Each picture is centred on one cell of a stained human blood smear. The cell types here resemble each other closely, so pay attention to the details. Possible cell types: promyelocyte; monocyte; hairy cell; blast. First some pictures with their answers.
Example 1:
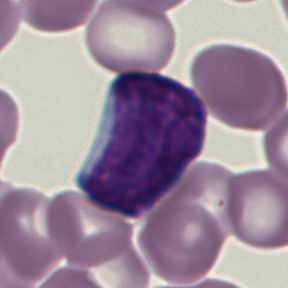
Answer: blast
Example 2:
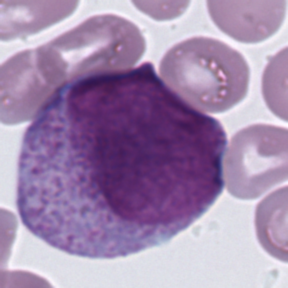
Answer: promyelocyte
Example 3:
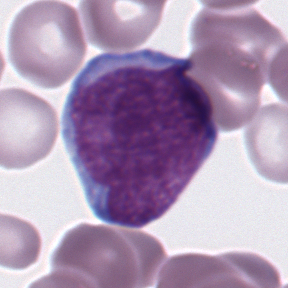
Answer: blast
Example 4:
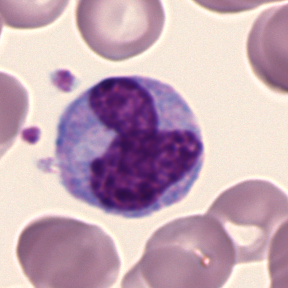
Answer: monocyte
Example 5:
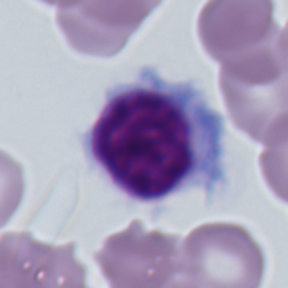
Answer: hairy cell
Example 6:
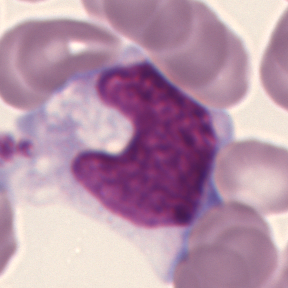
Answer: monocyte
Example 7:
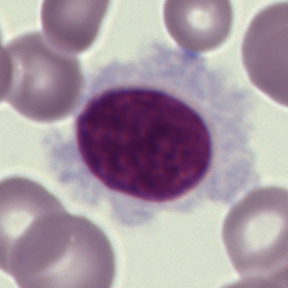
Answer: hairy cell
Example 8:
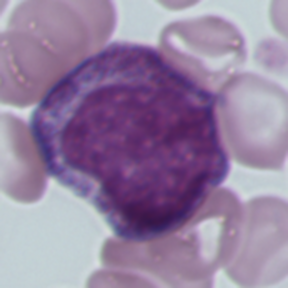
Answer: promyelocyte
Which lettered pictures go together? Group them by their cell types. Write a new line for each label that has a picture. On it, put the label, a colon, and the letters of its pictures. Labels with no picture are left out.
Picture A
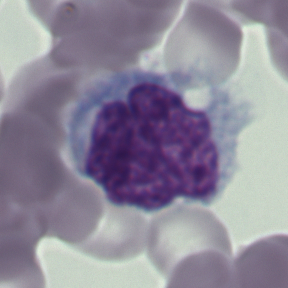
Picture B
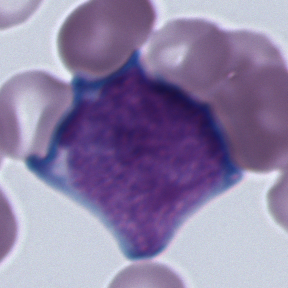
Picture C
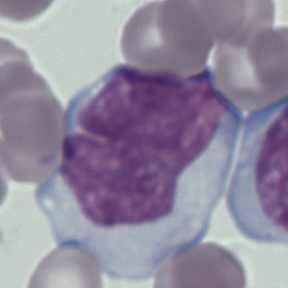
monocyte: A
blast: B, C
